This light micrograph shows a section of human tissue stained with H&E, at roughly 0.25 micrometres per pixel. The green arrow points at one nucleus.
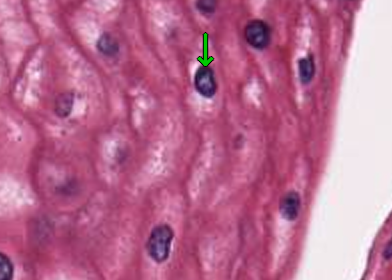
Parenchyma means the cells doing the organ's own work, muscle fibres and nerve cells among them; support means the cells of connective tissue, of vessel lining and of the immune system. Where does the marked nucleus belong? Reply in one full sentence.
The marked nucleus is located in a parenchymal cell, namely a squamous epithelial cell.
